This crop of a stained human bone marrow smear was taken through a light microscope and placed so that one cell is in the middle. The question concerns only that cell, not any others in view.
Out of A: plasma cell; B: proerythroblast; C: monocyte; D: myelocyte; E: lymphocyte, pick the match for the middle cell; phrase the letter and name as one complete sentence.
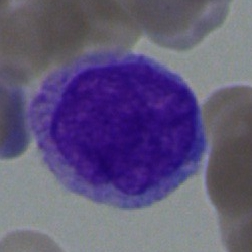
The best answer is option C, since the cell in the middle is a monocyte.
